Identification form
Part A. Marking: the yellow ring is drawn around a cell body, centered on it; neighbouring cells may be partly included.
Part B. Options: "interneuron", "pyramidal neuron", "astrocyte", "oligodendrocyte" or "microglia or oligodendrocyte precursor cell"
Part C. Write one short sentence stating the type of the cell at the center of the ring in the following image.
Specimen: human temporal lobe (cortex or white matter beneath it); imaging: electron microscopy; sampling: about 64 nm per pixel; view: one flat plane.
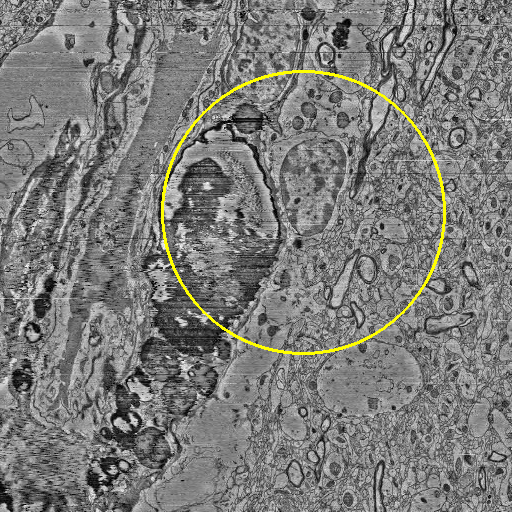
The center of the ring holds a microglial cell or oligodendrocyte precursor cell.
